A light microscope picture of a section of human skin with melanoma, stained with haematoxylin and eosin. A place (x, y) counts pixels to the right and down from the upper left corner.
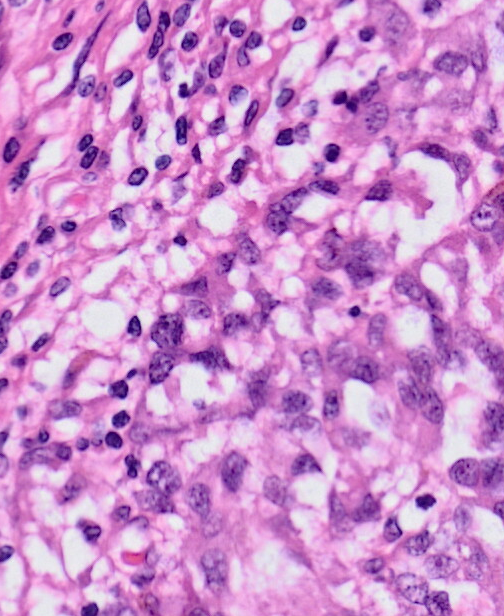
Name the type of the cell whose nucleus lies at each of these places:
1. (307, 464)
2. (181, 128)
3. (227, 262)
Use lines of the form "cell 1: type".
cell 1: melanoma cell
cell 2: lymphocyte
cell 3: melanoma cell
